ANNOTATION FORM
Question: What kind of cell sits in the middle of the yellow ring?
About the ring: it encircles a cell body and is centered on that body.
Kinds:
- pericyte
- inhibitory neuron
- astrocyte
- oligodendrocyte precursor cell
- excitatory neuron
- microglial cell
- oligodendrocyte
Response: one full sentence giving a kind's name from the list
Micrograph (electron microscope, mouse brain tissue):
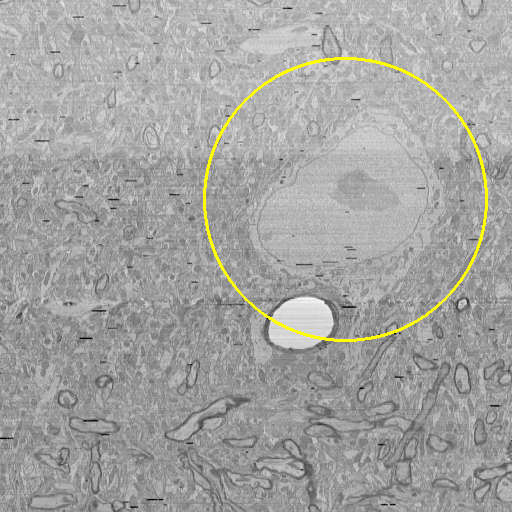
The kind of cell found at the center of the yellow ring in the micrograph is an excitatory neuron.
